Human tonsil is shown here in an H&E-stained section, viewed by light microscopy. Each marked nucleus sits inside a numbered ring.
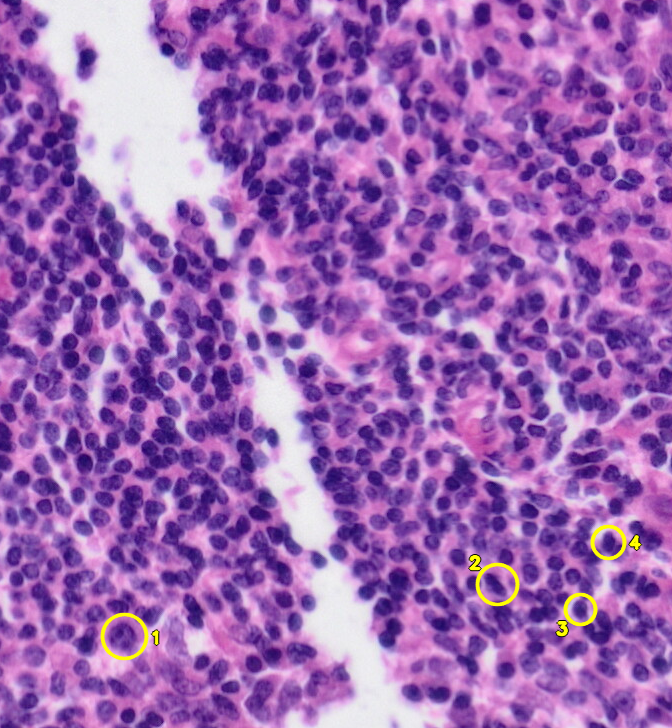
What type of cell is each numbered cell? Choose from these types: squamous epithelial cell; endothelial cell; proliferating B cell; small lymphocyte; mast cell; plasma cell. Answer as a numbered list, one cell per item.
1. proliferating B cell
2. small lymphocyte
3. small lymphocyte
4. small lymphocyte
